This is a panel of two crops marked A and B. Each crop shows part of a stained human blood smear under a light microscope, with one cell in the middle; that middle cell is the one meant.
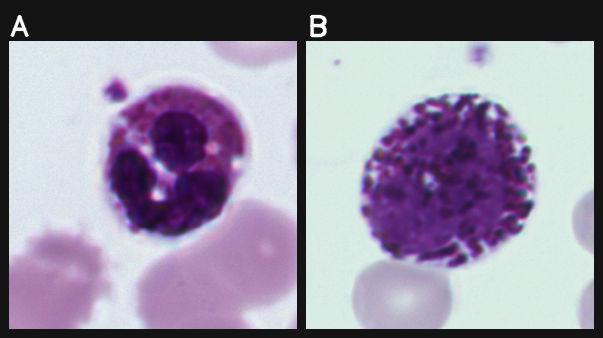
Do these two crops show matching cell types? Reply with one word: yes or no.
no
